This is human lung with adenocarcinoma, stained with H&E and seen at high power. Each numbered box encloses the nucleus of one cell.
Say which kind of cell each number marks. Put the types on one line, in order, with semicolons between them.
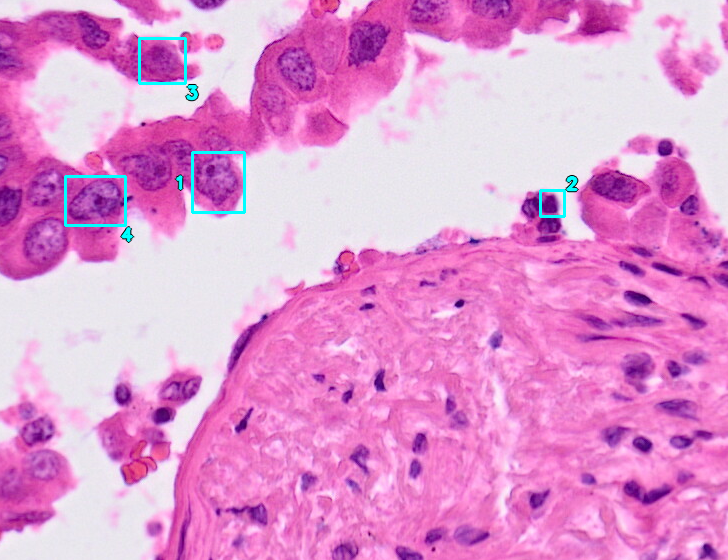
carcinoma cell; lymphocyte; carcinoma cell; carcinoma cell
